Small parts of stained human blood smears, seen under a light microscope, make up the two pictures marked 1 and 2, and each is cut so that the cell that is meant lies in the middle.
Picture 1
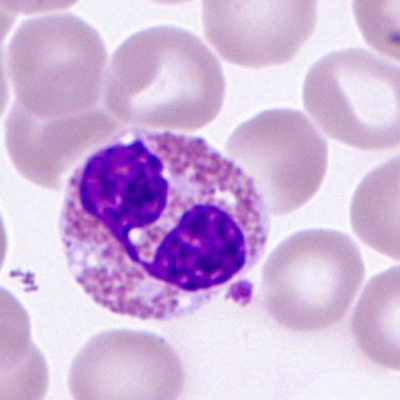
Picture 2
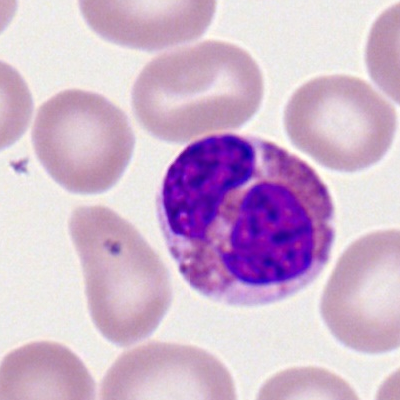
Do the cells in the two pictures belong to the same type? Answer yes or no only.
yes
